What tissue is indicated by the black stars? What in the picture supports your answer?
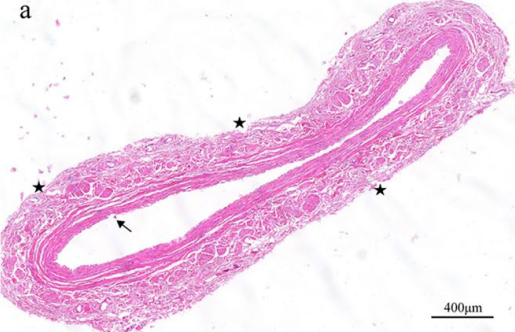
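The stars sit at the outer edge of the vessel wall, far from the lumen. The outer zone is loose, pale-pink connective tissue, unlike the dense pink layer around the lumen. The answer: adventitial layer.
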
